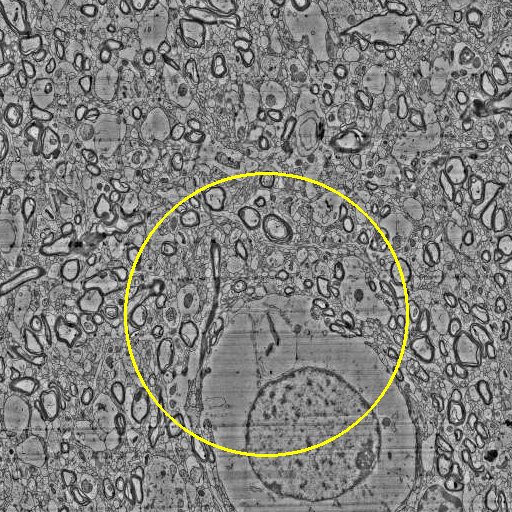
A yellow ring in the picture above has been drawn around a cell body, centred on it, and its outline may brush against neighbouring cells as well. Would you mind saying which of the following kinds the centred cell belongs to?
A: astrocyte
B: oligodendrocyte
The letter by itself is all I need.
A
